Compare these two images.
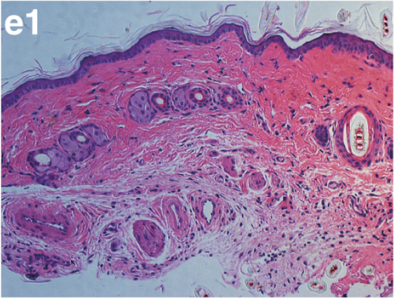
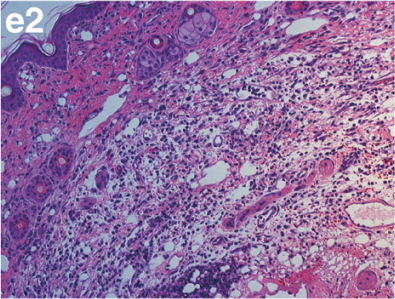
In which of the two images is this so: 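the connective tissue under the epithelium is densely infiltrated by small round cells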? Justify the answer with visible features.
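Second image: the tissue below the epithelium is crowded with small dark nuclei and looks loosened and pale. First image: the tissue below the epithelium is compact, deep pink collagen with few scattered nuclei.
Answer: the second image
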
